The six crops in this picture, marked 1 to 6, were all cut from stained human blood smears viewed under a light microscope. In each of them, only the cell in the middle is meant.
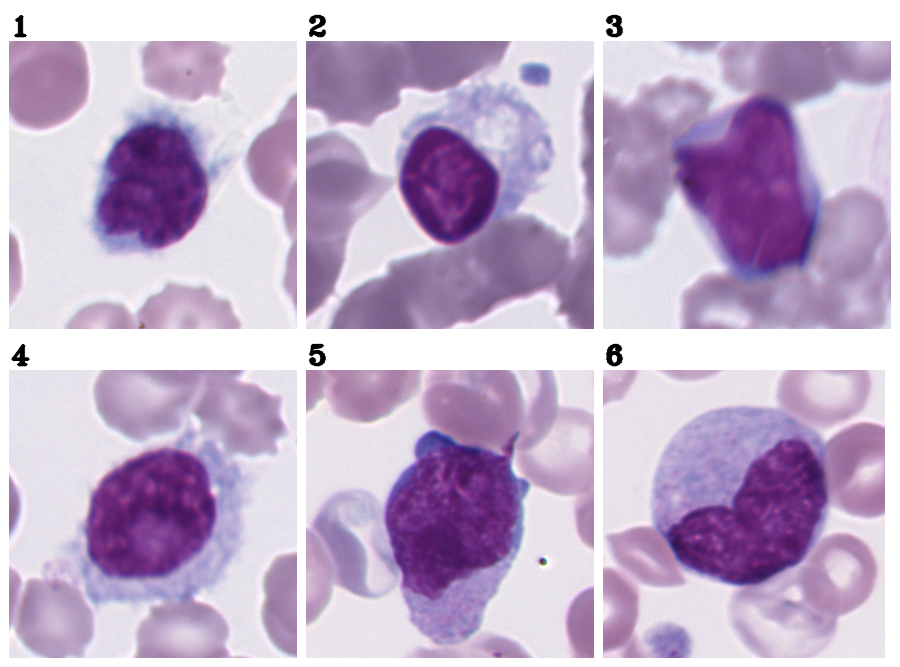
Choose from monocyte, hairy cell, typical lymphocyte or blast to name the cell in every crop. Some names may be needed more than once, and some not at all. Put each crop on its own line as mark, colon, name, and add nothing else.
1: hairy cell
2: hairy cell
3: blast
4: hairy cell
5: blast
6: monocyte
